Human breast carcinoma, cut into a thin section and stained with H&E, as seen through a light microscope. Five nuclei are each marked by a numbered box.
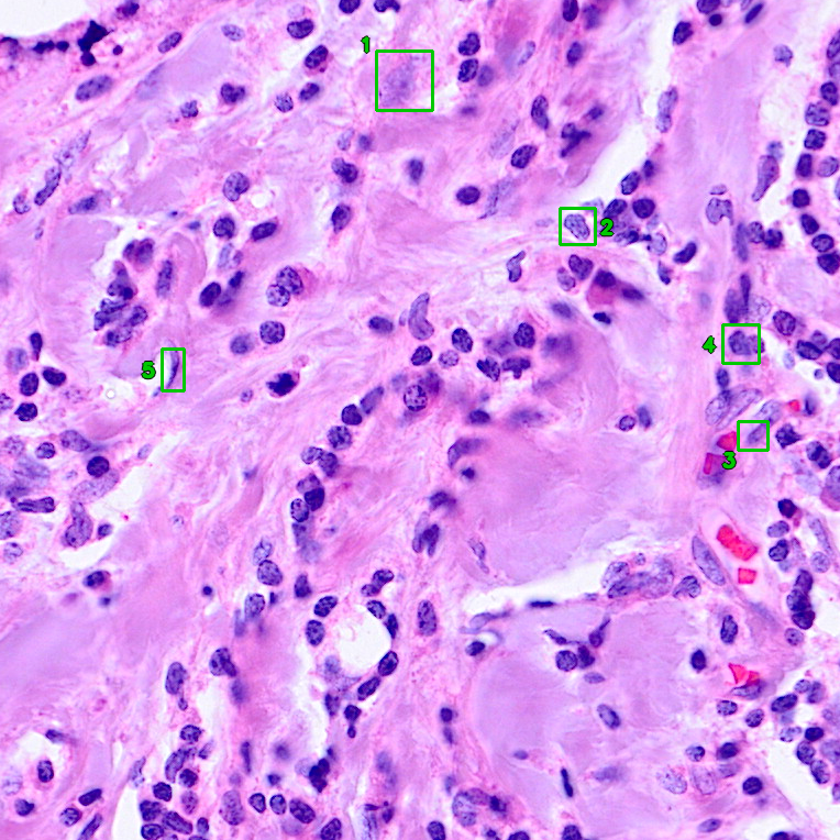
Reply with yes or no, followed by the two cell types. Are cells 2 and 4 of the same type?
Yes, both cell 2 and cell 4 count among the lymphocytes.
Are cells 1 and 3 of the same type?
No, the cell at number 1 is a fibroblast, and the cell at number 3 is an endothelial cell.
